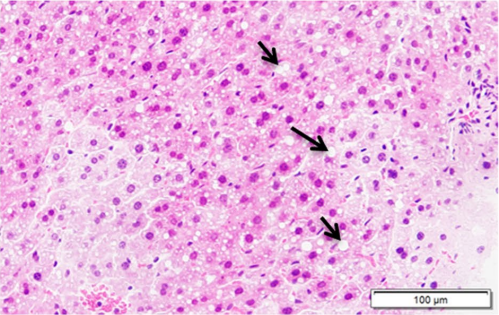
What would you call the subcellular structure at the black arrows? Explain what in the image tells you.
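The arrows point to small round clear spaces within the pink cytoplasm of the liver cells. The clear spaces are unstained and sharply rimmed. So: fat vacuoles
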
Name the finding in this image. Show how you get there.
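Hepatic steatosis. Many small round clear vacuoles are scattered through the cytoplasm of the liver cells. Some areas of the tissue look paler and less stained.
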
